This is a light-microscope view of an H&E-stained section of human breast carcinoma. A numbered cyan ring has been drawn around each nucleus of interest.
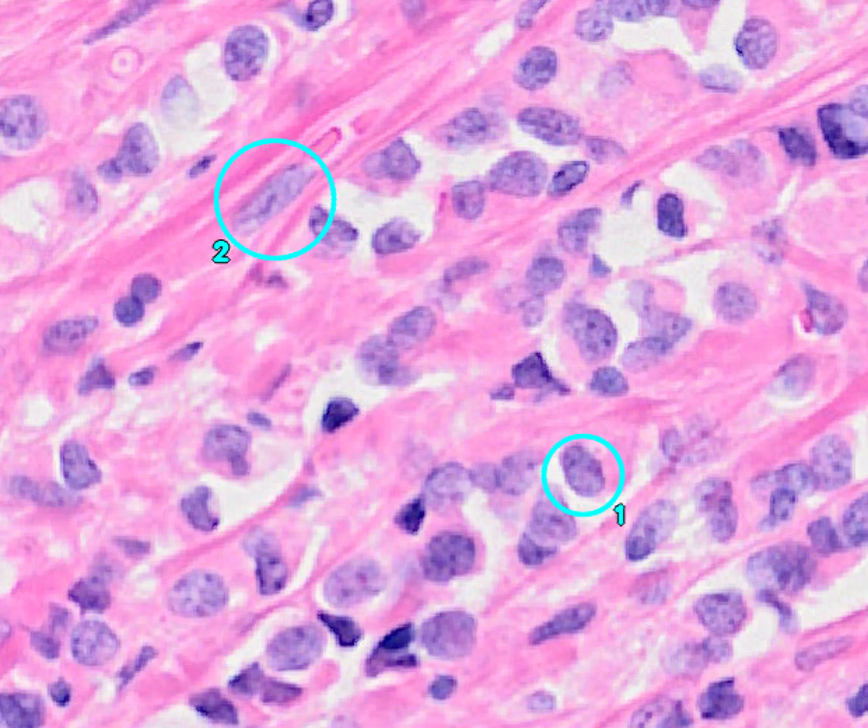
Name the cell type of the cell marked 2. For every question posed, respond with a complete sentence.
The numbered cell 2 in this field is an endothelial cell.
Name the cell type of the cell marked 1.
The expected answer is that cell 1 is a carcinoma cell.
